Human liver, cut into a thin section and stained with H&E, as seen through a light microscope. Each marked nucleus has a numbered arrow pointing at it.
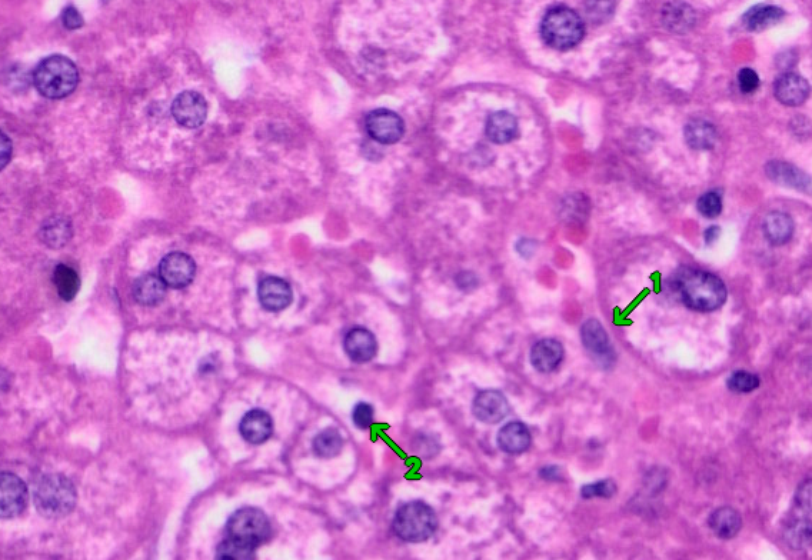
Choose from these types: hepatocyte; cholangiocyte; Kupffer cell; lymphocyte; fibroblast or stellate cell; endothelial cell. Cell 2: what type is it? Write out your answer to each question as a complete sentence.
That cell with number 2 is a lymphocyte.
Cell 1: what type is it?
The label 1 in this section denotes a Kupffer cell.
